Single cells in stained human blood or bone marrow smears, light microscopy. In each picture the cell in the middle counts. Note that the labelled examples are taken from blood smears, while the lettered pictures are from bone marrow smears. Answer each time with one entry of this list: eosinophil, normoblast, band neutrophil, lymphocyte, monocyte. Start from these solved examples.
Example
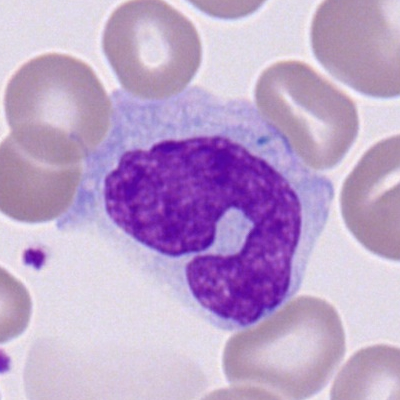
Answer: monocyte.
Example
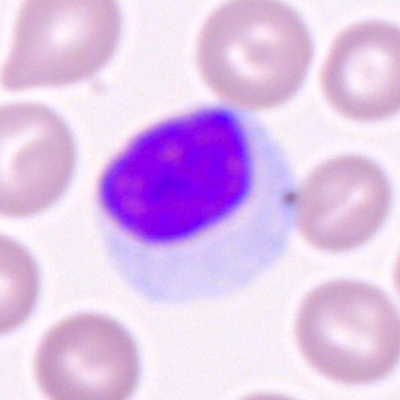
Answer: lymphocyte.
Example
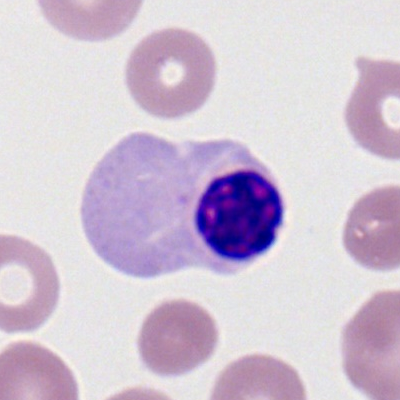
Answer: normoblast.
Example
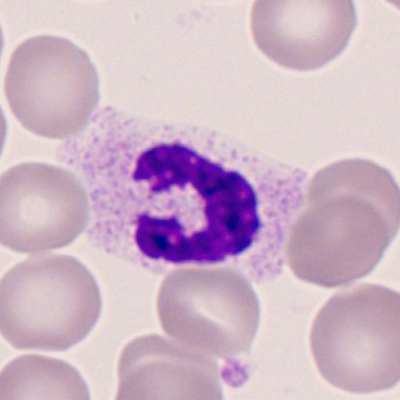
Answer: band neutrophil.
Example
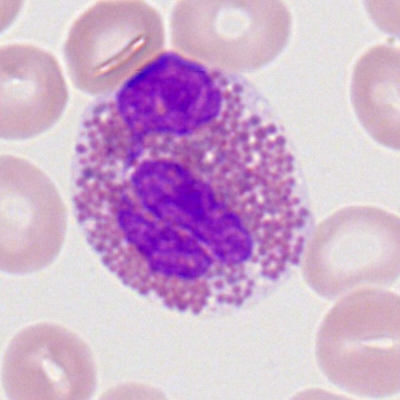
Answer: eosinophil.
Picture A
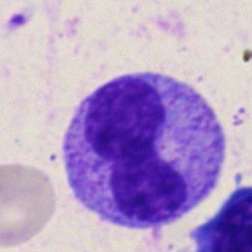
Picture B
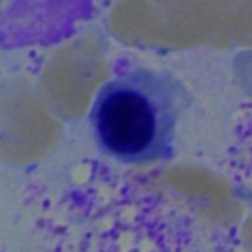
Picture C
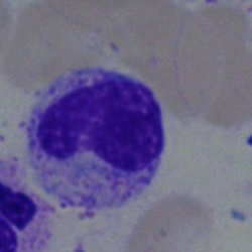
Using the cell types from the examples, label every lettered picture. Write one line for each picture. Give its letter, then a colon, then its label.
A: band neutrophil.
B: normoblast.
C: band neutrophil.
